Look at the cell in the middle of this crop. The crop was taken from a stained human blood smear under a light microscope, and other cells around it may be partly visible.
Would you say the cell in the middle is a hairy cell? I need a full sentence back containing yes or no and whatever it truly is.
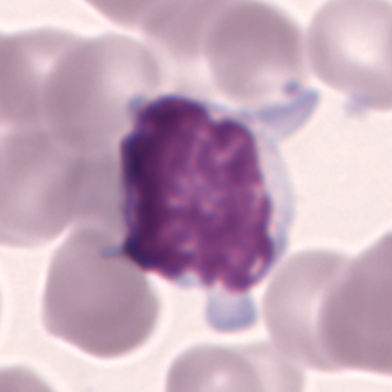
No, it isn't a hairy cell; what sits in the middle is a large granular lymphocyte.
